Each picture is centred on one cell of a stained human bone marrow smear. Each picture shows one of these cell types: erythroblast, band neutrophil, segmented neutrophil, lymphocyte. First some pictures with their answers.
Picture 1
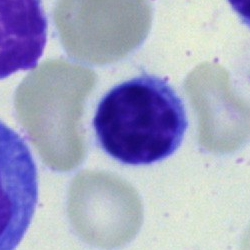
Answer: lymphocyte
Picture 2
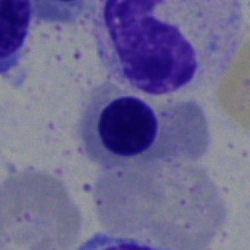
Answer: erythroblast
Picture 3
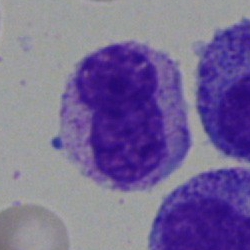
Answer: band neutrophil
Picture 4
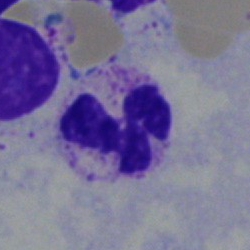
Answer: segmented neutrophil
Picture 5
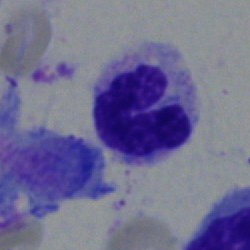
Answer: band neutrophil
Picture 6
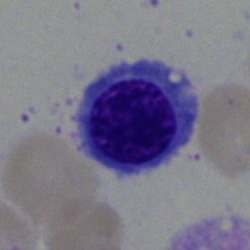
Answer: erythroblast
